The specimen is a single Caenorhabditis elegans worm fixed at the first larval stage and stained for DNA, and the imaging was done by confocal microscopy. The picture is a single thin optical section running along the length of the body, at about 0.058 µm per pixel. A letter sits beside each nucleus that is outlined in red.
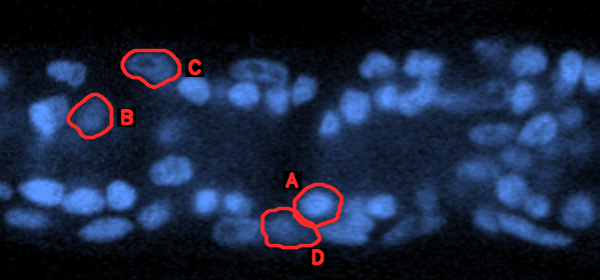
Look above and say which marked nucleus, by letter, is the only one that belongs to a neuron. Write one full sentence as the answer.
Nucleus D belongs to a neuron.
